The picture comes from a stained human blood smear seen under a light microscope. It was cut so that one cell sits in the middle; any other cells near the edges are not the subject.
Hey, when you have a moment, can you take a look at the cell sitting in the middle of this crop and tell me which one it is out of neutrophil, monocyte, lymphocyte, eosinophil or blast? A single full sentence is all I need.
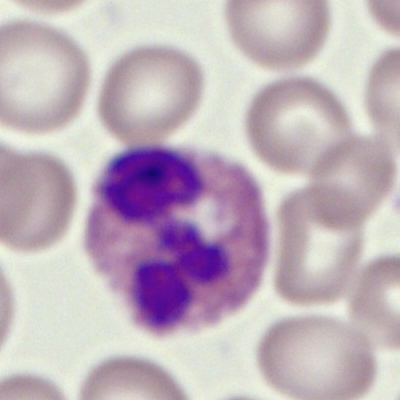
The cell in the exact centre of the crop is an eosinophil.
